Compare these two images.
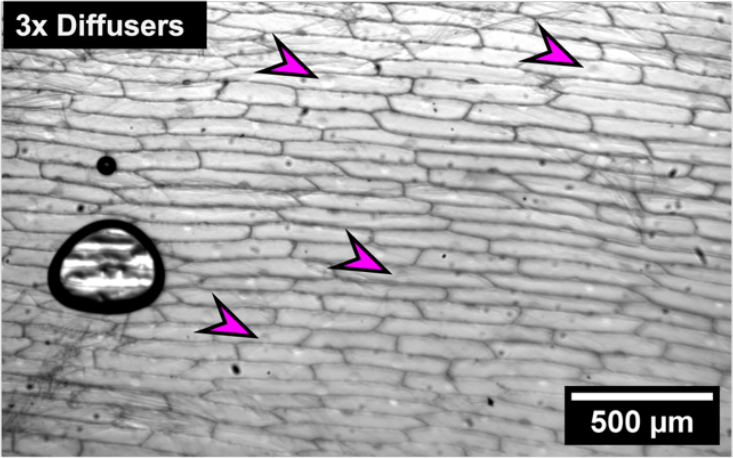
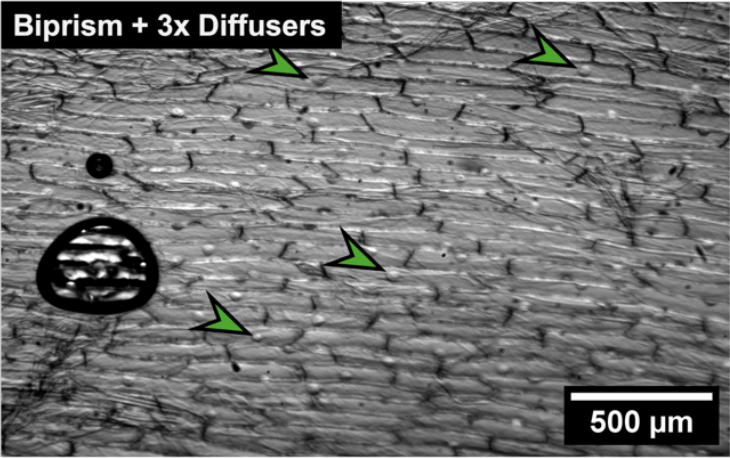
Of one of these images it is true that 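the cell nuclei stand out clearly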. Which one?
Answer: The second image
